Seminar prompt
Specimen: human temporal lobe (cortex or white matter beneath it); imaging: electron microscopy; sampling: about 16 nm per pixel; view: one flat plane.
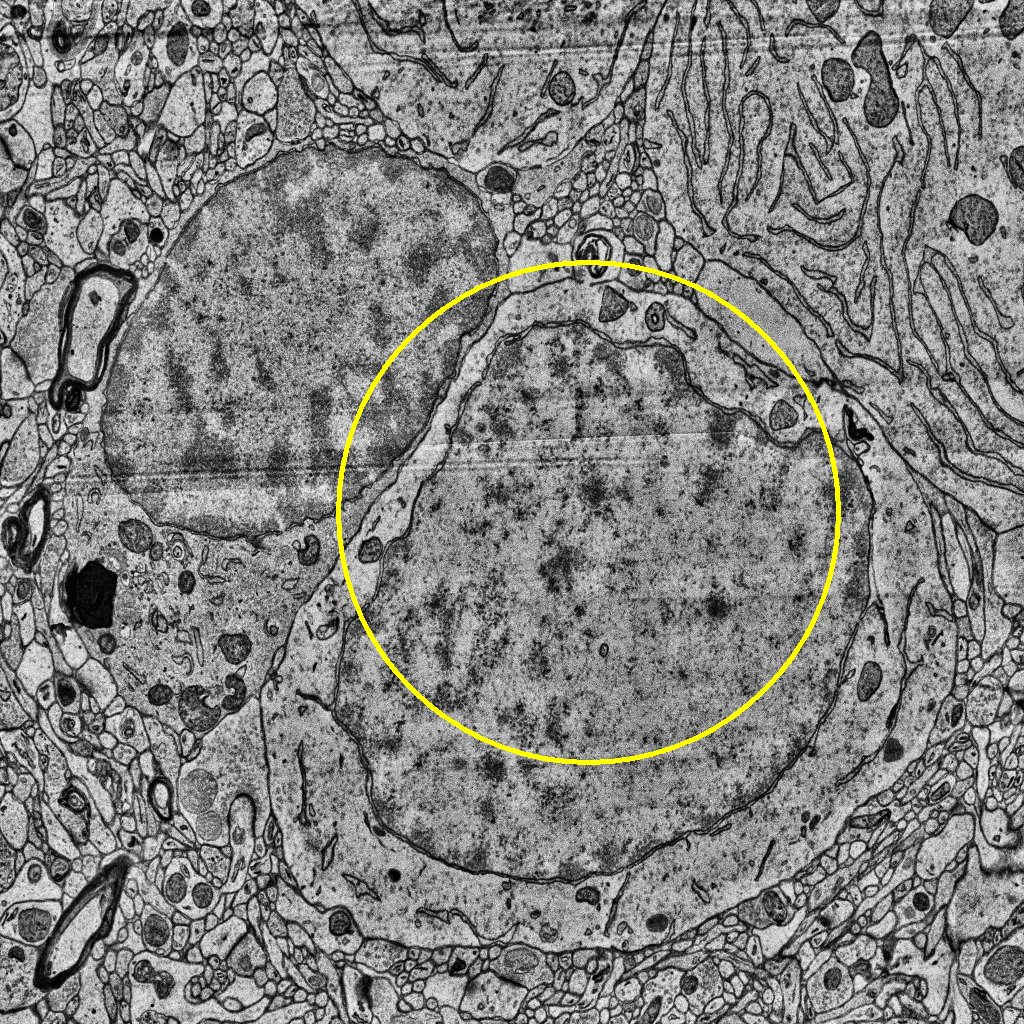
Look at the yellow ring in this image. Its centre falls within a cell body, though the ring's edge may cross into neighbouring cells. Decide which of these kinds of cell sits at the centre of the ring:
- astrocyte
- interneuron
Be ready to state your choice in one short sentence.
The kind of cell at the ring's centre is an interneuron.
